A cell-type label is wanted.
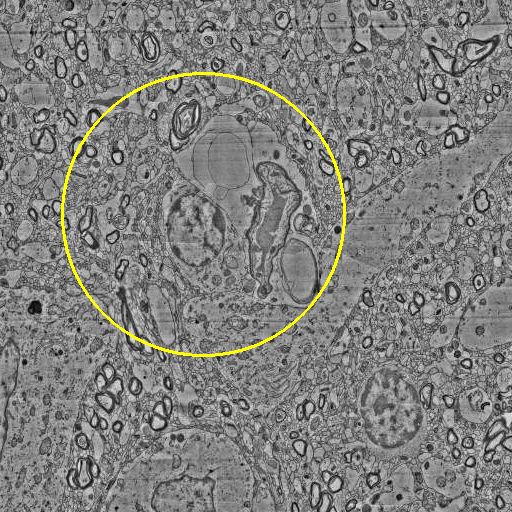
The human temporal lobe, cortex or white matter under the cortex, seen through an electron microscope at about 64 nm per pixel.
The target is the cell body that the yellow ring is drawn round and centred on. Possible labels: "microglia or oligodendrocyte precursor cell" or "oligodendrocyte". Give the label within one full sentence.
Of the labels offered, the cell in the middle of the yellow ring is a microglial cell or oligodendrocyte precursor cell.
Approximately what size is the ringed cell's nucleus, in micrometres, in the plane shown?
The ringed cell's nucleus measures approximately 5 by 4 micrometres in this plane.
